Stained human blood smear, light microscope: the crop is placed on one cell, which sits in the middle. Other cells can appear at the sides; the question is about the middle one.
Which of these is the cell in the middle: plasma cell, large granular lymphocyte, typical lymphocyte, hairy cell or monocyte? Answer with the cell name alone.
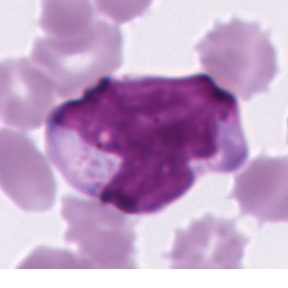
large granular lymphocyte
